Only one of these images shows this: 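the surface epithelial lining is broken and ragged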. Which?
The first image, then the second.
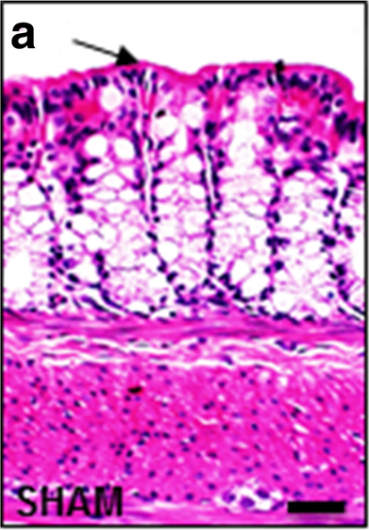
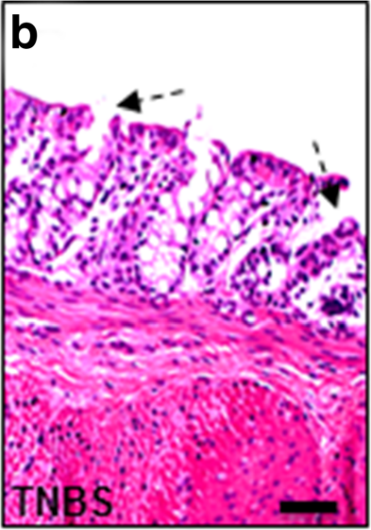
The second image.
